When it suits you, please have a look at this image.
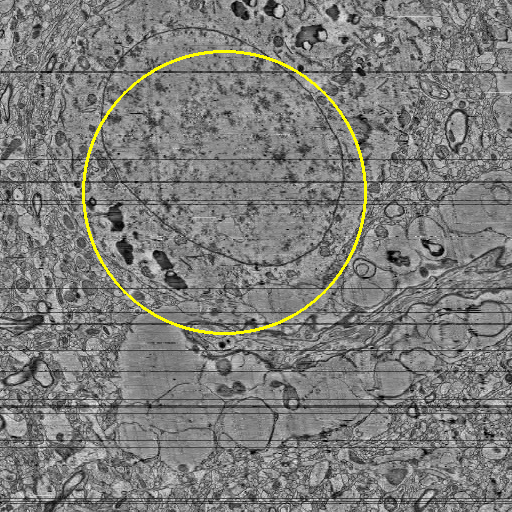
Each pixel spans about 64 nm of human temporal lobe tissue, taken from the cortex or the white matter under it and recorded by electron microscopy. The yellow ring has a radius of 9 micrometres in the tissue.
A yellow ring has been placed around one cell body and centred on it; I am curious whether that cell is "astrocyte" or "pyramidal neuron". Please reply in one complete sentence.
The ringed cell, a pyramidal neuron, has its body at the centre of the yellow ring.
